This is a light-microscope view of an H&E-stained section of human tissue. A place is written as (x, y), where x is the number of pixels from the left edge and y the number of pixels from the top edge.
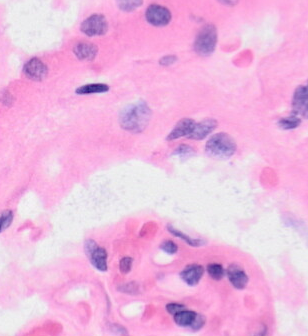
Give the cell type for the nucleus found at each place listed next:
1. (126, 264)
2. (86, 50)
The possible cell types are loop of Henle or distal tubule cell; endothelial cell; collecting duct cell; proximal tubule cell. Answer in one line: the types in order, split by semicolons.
endothelial cell; loop of Henle or distal tubule cell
